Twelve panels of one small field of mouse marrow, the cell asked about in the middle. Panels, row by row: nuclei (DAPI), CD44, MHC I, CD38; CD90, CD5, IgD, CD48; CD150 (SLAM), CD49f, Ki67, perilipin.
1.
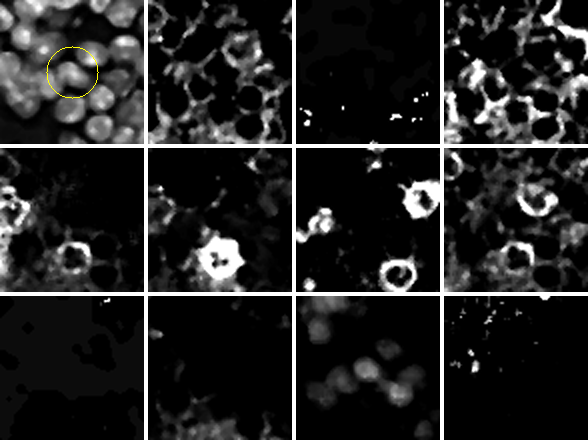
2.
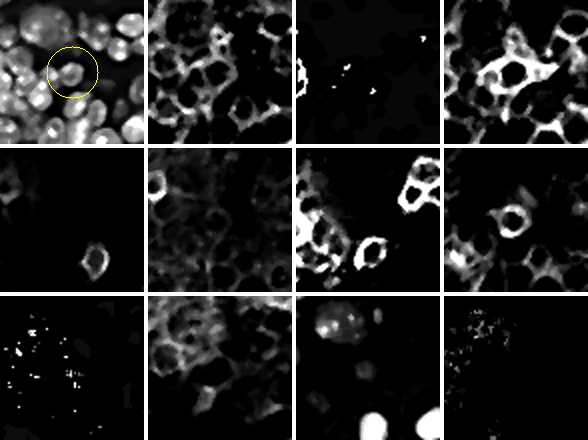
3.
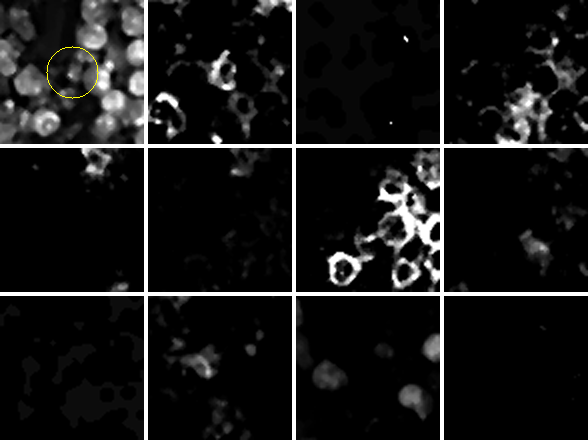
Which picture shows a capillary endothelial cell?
Picture 2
